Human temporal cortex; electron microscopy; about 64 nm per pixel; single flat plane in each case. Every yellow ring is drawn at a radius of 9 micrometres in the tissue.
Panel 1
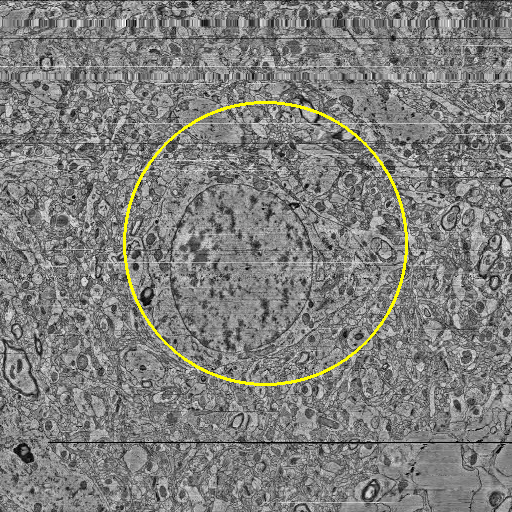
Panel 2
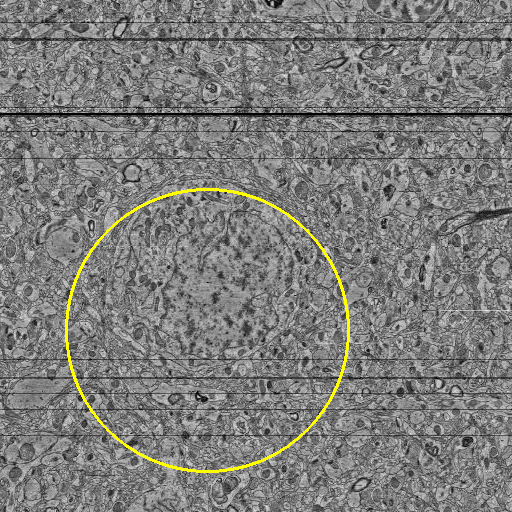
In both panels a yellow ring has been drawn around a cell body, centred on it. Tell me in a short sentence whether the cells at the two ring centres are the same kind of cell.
No, they are two kinds of cell.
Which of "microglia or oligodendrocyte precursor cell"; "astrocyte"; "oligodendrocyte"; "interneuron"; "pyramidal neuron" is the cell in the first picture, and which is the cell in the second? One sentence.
The two differ: the first cell is a pyramidal neuron and the second is an interneuron.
